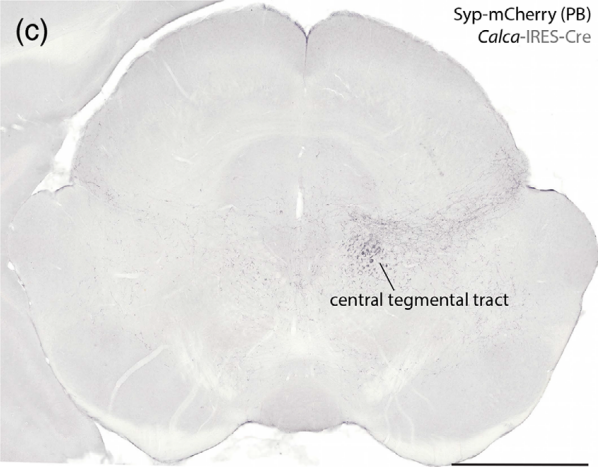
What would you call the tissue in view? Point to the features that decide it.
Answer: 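Coronal brain section with a small midline canal dorsally. Paired dorsal bulges above the canal. Paired ventral fiber bundles at the ventrolateral base of the section. The answer: midbrain.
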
